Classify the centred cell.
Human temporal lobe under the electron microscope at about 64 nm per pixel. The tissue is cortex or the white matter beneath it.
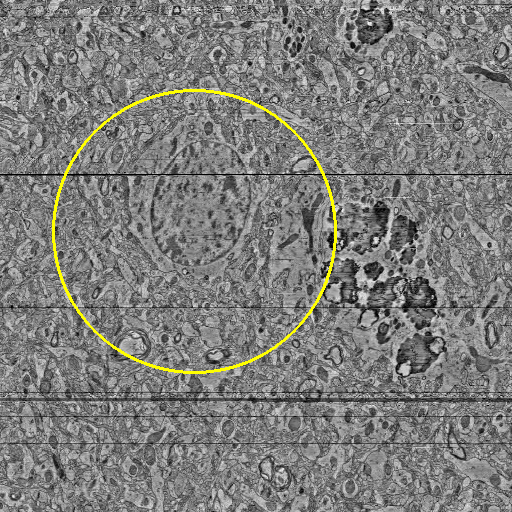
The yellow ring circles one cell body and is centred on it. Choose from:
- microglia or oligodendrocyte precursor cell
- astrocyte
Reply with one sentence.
The ring is centred on an astrocyte.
